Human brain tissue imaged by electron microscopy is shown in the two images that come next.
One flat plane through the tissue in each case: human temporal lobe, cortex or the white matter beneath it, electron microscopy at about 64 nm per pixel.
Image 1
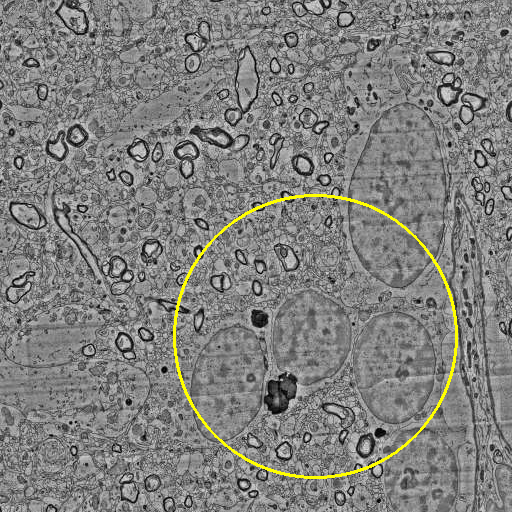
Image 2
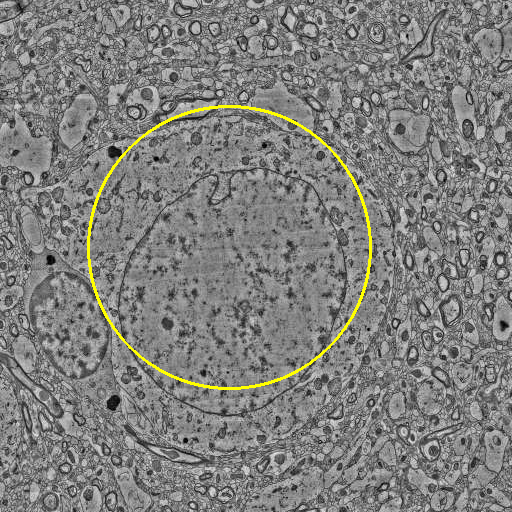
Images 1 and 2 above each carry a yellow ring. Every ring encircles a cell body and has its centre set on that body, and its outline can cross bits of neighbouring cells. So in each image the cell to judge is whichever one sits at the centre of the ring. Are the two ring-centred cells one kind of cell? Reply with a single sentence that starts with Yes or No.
No, in Image 1 and Image 2 the cells at the centres of their rings fall into two types.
